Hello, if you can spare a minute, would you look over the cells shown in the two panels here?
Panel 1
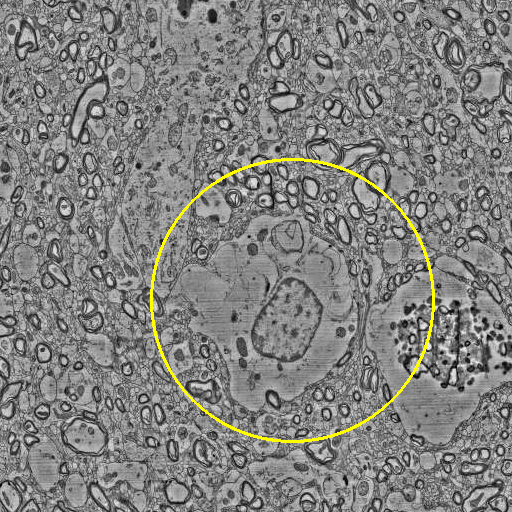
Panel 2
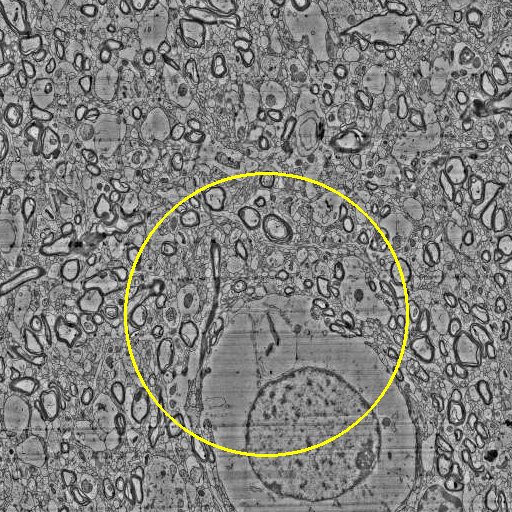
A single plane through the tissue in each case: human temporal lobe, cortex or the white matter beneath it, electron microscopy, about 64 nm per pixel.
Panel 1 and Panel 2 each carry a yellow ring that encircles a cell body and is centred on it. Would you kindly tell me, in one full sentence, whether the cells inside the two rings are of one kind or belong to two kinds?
The cells at the centres of the rings in Panel 1 and Panel 2 are of one kind.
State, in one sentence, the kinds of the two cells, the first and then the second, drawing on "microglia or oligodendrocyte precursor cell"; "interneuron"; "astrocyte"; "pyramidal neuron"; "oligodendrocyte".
In each picture the ringed cell is an astrocyte.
